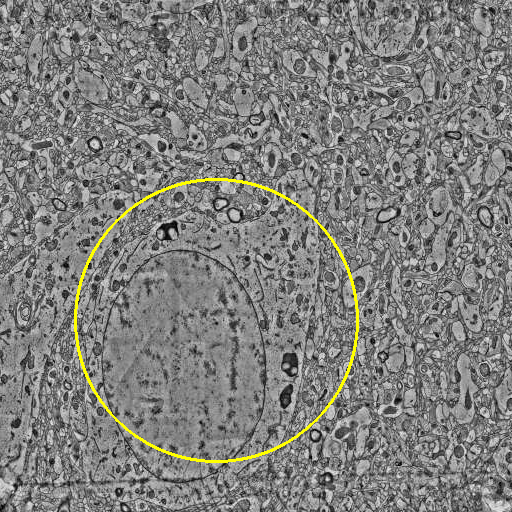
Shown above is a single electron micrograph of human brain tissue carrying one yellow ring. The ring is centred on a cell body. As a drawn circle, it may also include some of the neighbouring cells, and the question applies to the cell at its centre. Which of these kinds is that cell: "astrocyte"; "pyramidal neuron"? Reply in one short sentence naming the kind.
The cell marked by the ring is a pyramidal neuron.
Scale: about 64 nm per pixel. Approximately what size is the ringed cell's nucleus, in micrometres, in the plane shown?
The ringed cell's nucleus measures approximately 15 by 11 micrometres in this plane.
